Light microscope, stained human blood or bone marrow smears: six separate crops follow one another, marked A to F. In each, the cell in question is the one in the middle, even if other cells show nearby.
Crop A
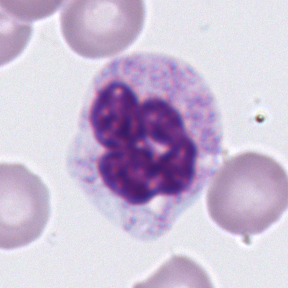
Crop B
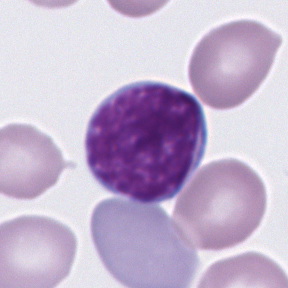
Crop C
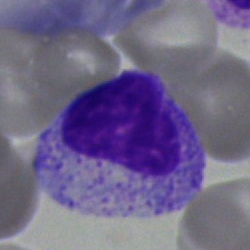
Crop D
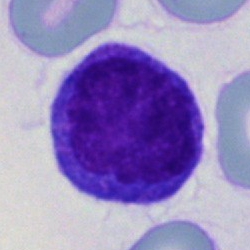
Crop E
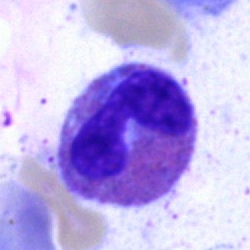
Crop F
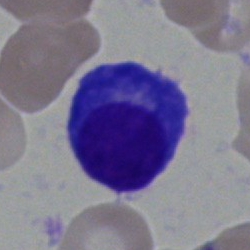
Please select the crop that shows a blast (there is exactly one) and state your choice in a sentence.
Crop D is the one in this set that shows a blast.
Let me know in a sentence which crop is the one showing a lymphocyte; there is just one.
Selected crop: B, which is the one that shows a lymphocyte.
